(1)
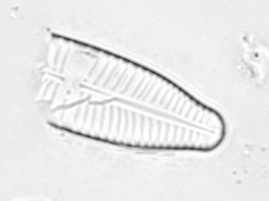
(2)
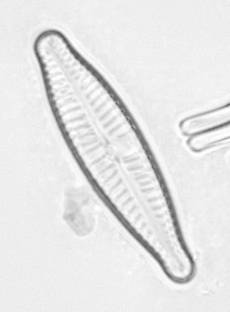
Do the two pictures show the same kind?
Yes, both are Gomphonema.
